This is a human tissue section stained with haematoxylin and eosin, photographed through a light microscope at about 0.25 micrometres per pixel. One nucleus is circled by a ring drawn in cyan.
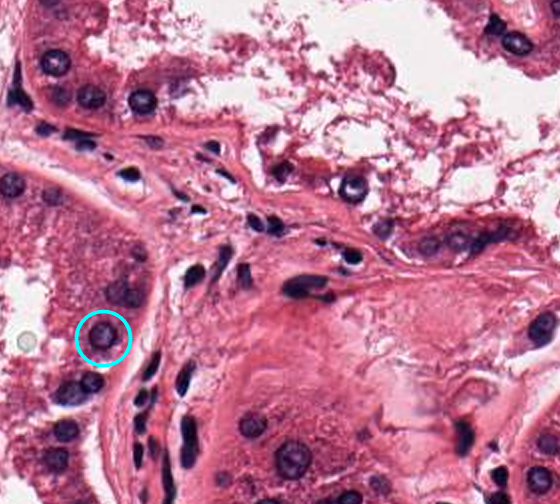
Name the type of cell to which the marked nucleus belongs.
proximal tubule cell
